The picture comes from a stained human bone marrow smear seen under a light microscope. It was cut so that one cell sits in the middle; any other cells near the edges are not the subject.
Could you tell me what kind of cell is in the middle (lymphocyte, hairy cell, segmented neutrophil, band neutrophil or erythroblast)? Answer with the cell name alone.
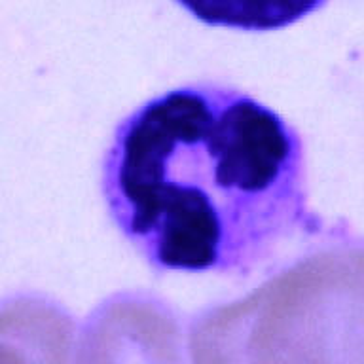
segmented neutrophil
